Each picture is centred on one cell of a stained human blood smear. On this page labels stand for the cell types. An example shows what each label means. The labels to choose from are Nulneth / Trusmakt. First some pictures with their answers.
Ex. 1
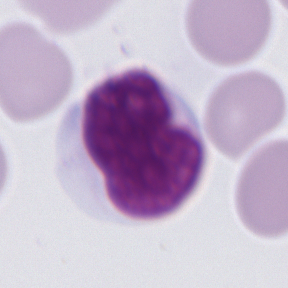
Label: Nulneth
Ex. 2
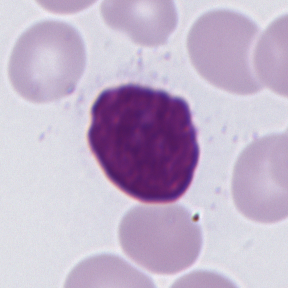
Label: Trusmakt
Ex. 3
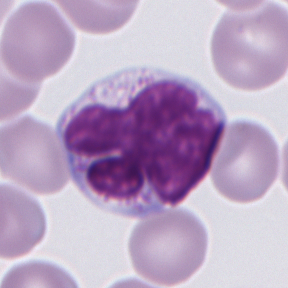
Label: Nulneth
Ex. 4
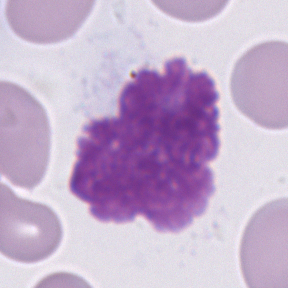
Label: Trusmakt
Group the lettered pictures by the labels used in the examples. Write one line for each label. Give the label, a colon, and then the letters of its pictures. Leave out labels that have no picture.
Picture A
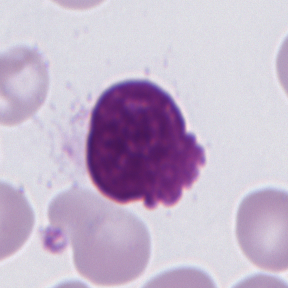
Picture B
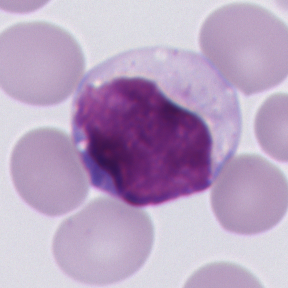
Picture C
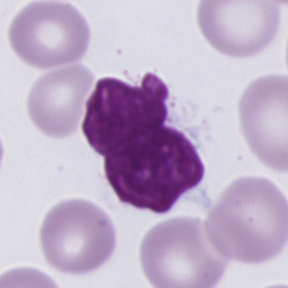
Nulneth: B
Trusmakt: A, C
